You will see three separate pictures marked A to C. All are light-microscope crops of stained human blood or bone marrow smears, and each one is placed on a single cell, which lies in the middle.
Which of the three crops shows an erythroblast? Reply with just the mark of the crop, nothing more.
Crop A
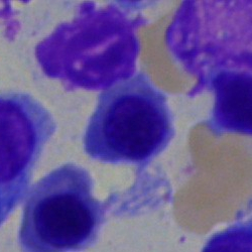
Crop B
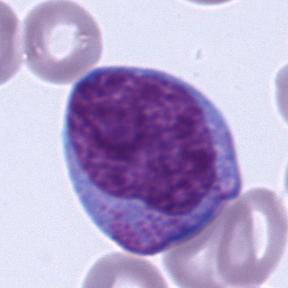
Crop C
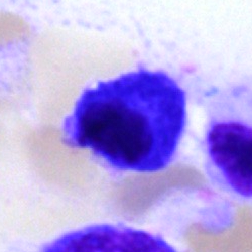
A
